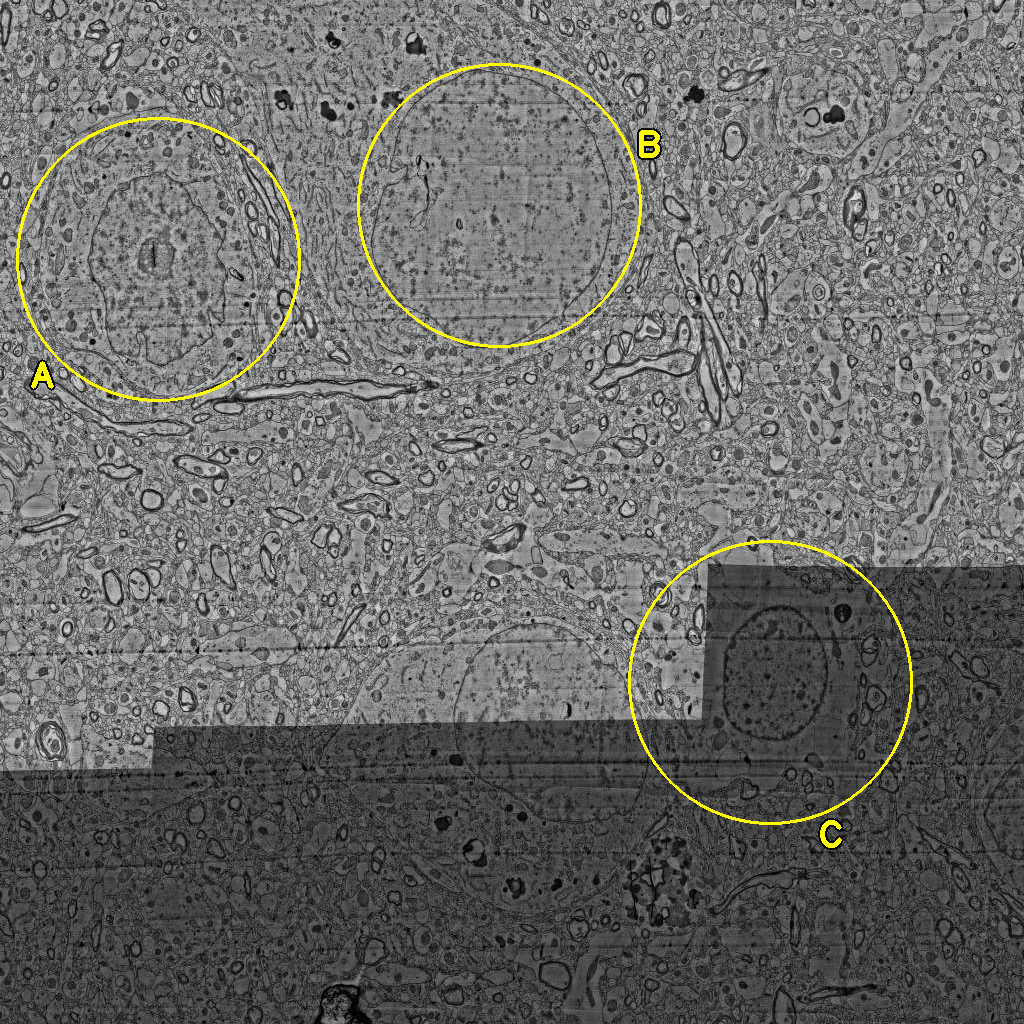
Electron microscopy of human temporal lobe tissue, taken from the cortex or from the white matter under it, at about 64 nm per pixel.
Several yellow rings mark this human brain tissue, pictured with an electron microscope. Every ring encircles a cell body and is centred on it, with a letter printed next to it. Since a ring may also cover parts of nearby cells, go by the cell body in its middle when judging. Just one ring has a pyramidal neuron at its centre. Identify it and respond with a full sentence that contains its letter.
The answer is ring B, whose centre rests on the cell asked for.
